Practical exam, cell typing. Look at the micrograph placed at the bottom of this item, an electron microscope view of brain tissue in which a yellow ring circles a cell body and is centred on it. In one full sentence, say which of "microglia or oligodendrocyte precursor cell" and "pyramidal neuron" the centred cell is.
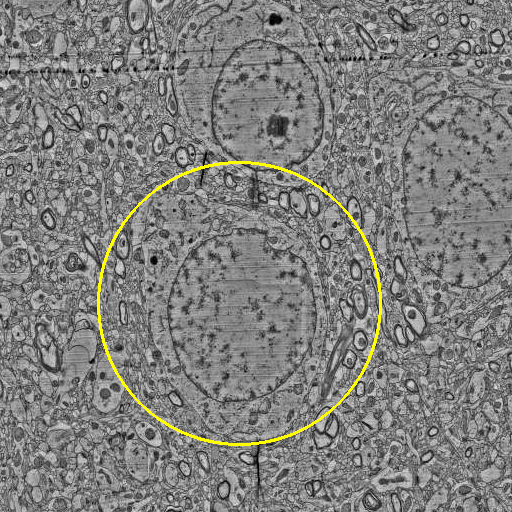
Given the options, a pyramidal neuron fits the cell whose body the yellow ring is centred on.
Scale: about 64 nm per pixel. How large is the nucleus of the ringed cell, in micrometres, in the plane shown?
The nucleus comes to roughly 11 by 10 micrometres in this plane.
